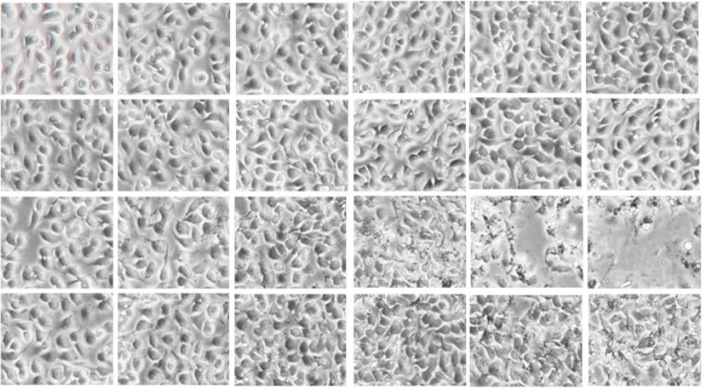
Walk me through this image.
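This grid shows cultured cells growing as a dense, confluent monolayer under transmitted-light microscopy. In the upper rows the cells stay closely packed across all columns, each polygonal to rounded with a darker nucleus and a bright edge. In the third row the monolayer breaks up towards the right-hand columns: cells become irregular and granular, and in the last columns wide, nearly empty grey areas hold only scattered debris. The bottom row keeps more cells intact, though these also look somewhat disordered in the later columns.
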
